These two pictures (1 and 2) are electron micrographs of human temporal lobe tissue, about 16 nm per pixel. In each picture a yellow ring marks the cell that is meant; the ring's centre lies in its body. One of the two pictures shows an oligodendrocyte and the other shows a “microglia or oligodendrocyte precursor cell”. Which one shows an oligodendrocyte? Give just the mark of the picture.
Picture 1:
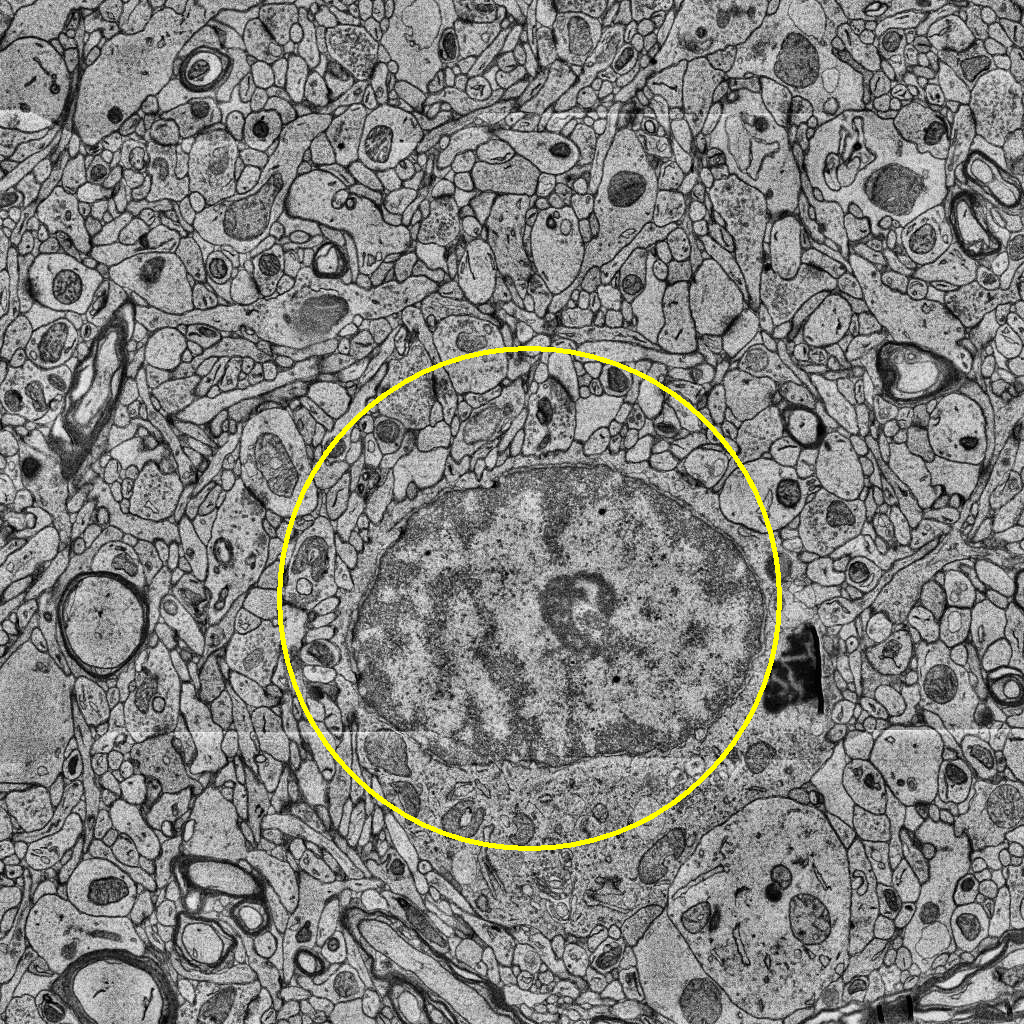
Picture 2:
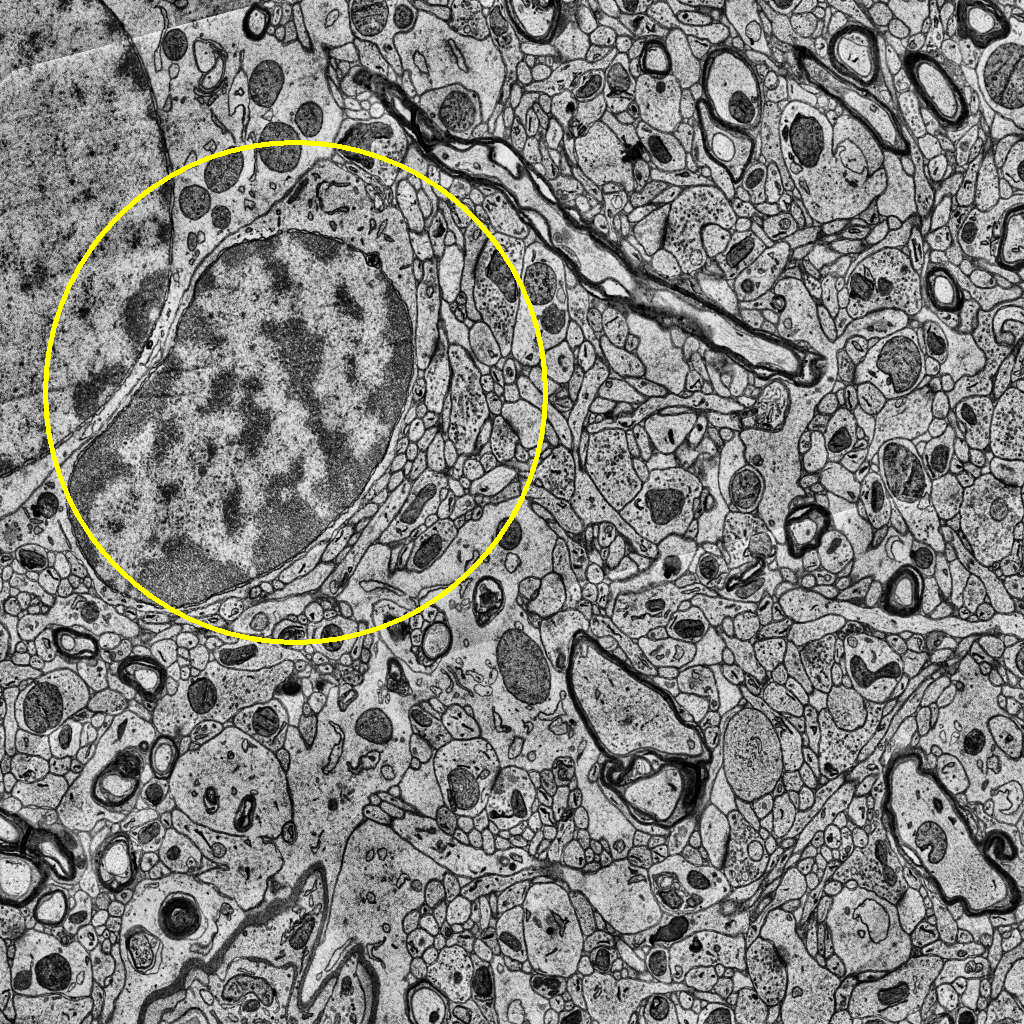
1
